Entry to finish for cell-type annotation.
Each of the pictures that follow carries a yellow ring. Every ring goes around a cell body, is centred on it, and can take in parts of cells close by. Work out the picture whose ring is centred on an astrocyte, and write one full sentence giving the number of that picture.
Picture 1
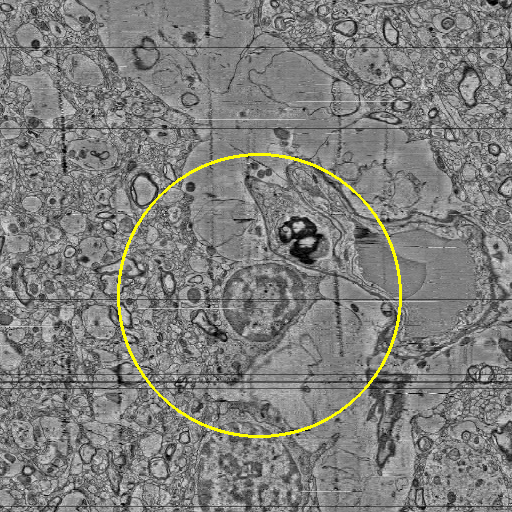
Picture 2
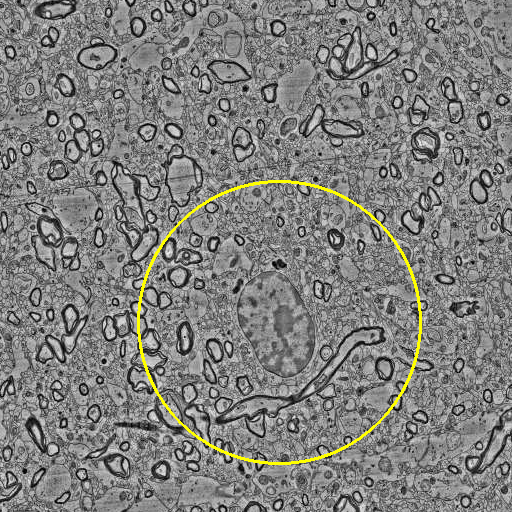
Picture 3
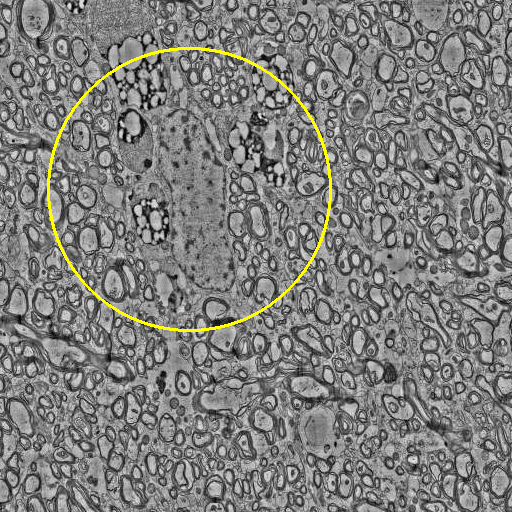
The cell at the heart of the ring in picture 3 matches the request.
